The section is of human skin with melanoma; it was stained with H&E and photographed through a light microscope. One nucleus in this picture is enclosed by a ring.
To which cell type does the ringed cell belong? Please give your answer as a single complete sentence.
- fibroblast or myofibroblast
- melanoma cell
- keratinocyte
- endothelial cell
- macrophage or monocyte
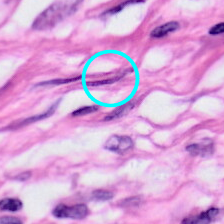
In terms of identity, the ringed cell is a fibroblast or myofibroblast.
